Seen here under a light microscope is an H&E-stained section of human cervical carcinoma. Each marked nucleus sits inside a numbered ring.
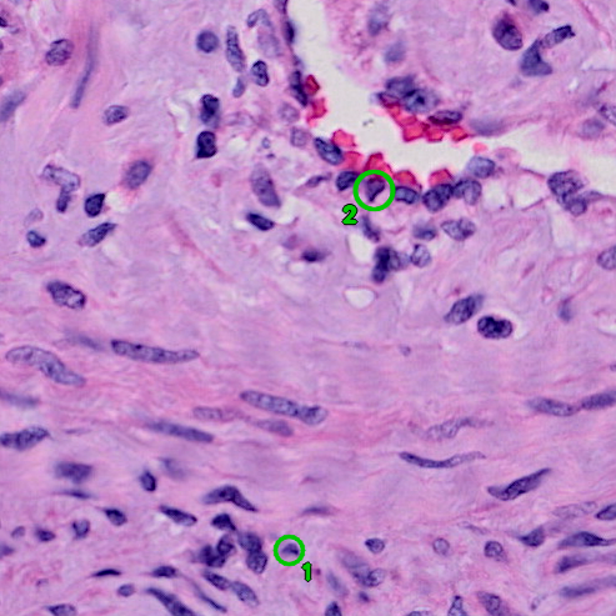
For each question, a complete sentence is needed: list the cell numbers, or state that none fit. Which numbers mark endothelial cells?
Only at number 2 is there an endothelial cell among the marked cells.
